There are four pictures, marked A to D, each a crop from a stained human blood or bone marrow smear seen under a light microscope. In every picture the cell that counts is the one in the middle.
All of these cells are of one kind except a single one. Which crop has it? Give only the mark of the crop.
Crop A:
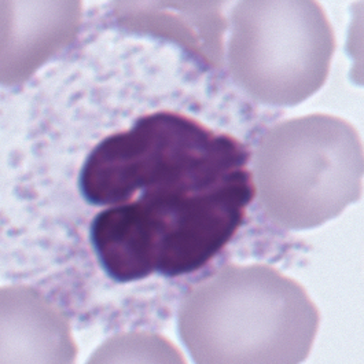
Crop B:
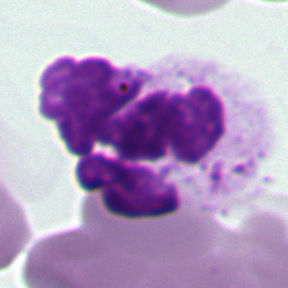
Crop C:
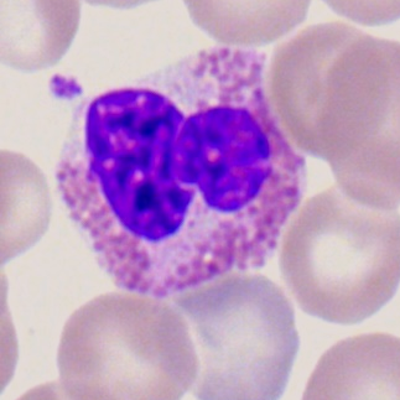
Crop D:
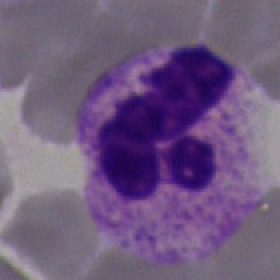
C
